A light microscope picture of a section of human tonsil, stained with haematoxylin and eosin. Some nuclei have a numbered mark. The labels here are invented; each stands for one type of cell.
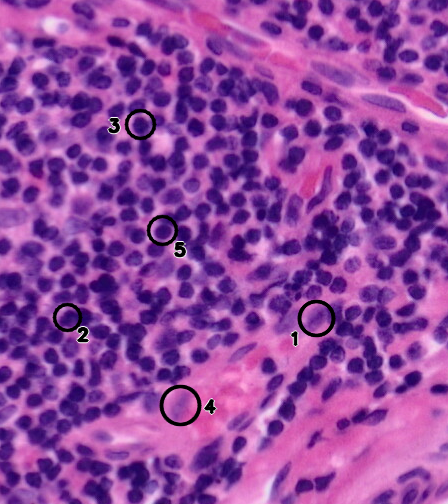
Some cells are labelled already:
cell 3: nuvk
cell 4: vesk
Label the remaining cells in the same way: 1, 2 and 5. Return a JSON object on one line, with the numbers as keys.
{"1": "vesk", "2": "nuvk", "5": "nuvk"}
